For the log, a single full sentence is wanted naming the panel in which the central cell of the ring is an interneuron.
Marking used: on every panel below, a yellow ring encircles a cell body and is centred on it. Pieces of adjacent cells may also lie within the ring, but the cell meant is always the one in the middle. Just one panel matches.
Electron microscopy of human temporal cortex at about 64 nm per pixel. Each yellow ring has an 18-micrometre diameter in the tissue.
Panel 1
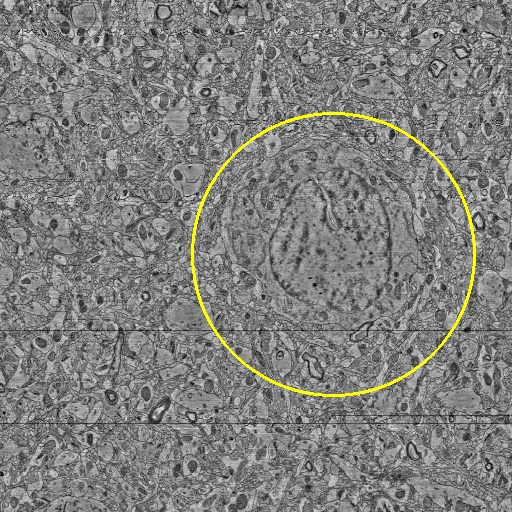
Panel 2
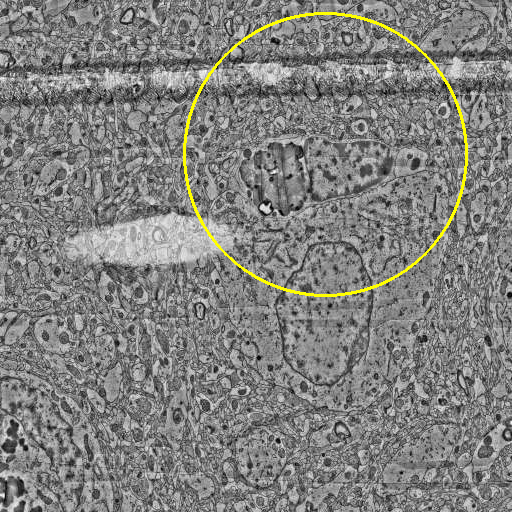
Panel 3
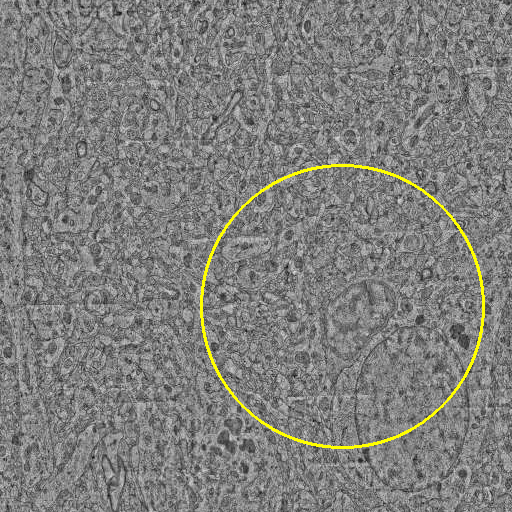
The cell in the middle of the ring in panel 1 is the one asked for.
